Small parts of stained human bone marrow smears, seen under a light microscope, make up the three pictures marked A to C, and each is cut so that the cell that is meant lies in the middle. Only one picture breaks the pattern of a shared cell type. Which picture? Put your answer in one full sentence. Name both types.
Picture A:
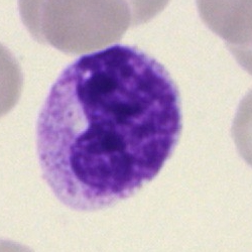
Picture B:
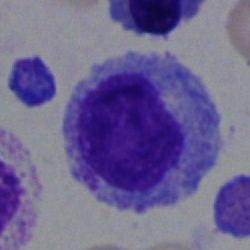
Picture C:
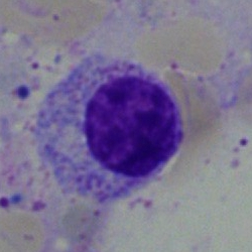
Unlike the rest, which show myelocytes, picture A shows a metamyelocyte.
